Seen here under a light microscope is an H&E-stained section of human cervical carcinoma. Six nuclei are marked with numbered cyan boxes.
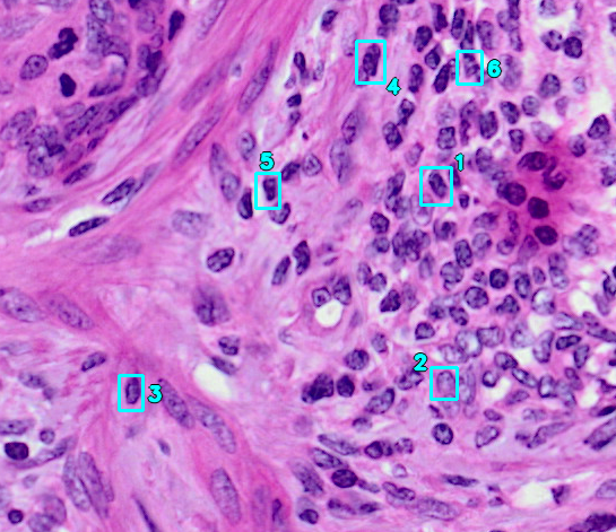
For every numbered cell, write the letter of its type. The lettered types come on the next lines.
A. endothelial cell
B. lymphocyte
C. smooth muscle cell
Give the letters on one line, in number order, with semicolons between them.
B; A; C; B; B; B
